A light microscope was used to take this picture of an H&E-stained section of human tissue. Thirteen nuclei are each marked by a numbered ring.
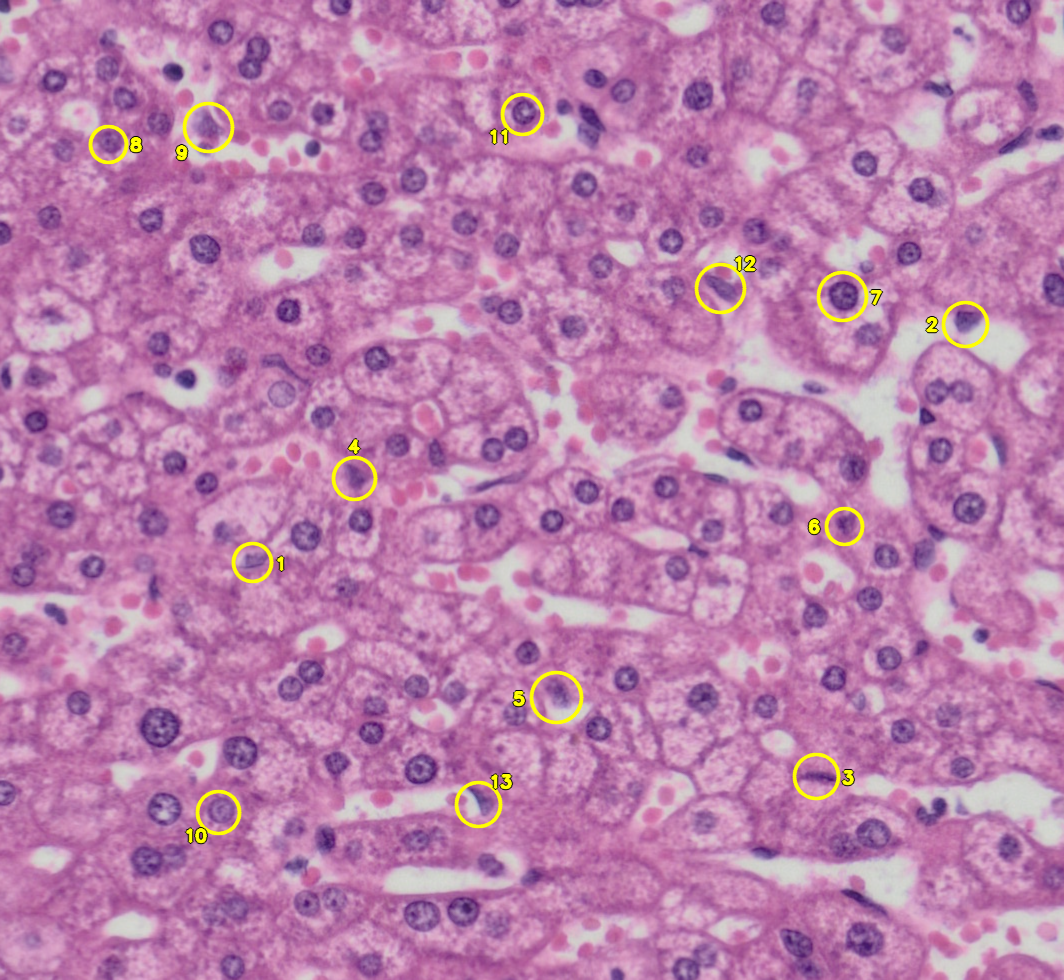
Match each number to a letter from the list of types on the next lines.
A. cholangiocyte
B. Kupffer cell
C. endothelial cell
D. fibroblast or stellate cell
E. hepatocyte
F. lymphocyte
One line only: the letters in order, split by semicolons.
C; C; D; C; B; D; E; E; B; E; E; B; C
